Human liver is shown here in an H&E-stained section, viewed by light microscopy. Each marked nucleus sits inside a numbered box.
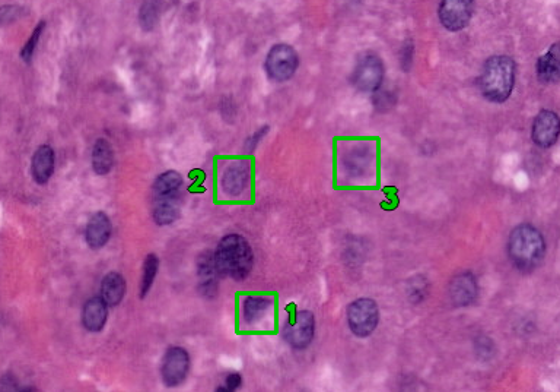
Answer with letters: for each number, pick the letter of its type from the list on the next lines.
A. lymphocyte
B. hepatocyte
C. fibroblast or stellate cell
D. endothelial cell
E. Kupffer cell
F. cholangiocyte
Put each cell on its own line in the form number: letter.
1: C
2: B
3: B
